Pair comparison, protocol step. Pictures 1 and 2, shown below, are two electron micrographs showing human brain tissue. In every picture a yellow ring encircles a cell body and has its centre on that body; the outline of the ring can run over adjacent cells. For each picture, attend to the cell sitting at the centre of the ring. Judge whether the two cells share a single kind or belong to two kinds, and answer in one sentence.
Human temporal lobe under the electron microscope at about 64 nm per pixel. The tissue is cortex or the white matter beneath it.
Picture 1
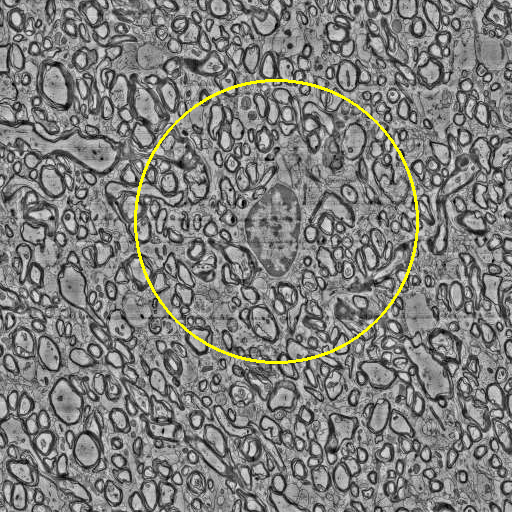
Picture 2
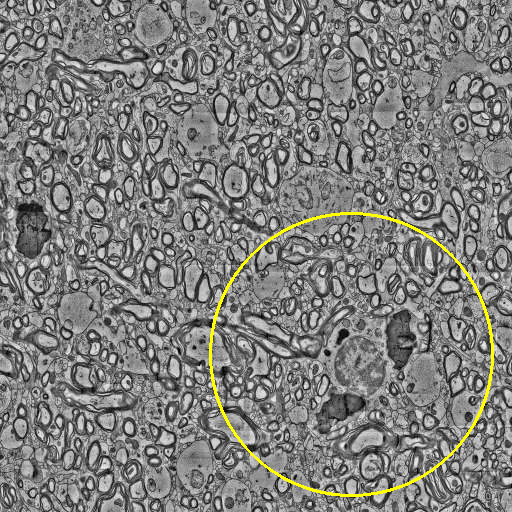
The two cells at the ring centres in Picture 1 and Picture 2 belong to two kinds.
